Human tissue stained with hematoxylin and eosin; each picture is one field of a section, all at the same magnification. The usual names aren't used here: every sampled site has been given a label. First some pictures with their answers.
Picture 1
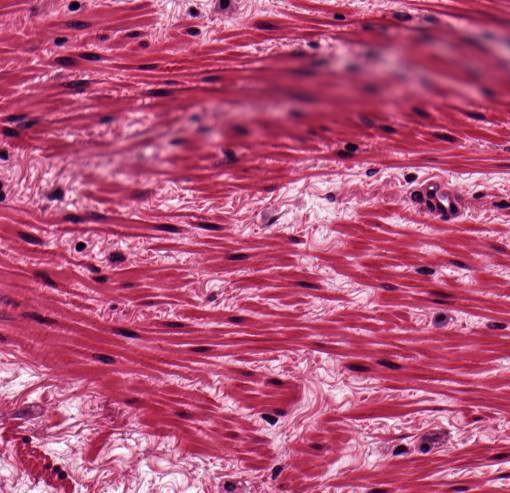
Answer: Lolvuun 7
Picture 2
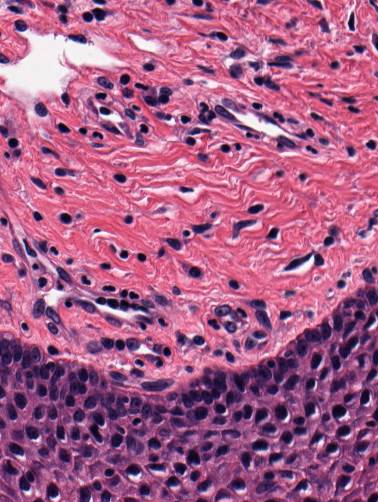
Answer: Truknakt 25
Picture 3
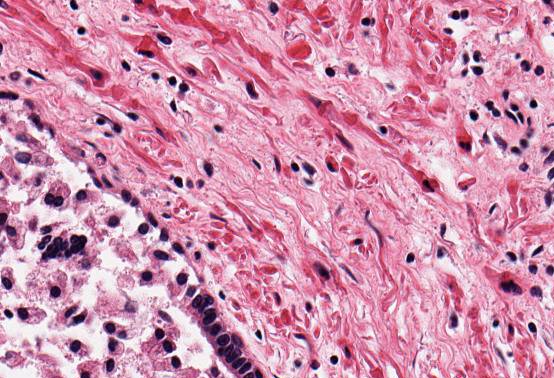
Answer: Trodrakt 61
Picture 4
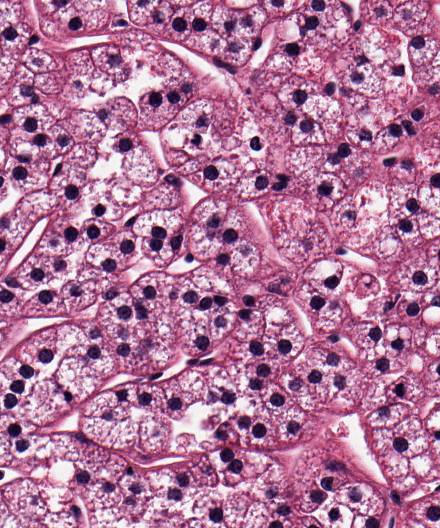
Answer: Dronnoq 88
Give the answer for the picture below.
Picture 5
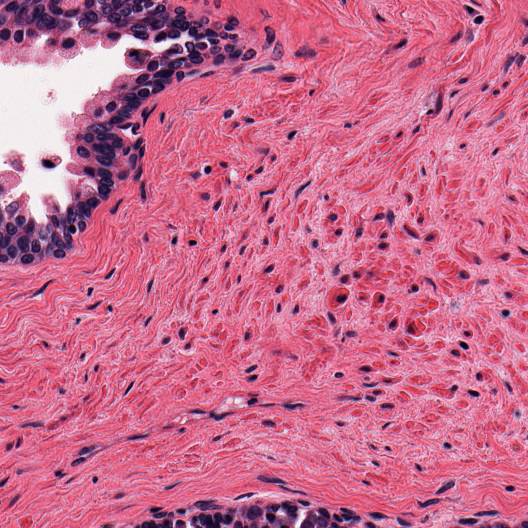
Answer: Trodrakt 61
